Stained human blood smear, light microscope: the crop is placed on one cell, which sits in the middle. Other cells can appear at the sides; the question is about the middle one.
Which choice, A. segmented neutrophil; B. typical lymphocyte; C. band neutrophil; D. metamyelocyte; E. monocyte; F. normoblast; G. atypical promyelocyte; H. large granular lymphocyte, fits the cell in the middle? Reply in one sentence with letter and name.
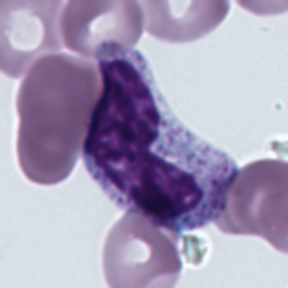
In this crop the middle cell is a metamyelocyte, so option D is the correct answer.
